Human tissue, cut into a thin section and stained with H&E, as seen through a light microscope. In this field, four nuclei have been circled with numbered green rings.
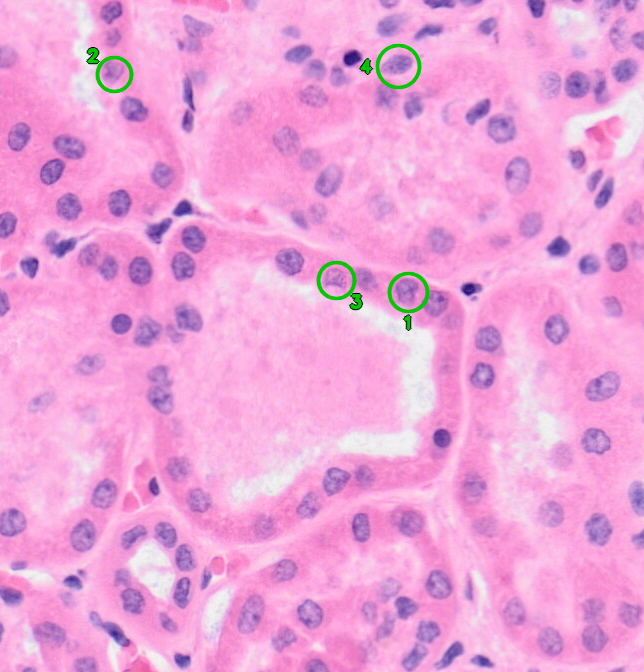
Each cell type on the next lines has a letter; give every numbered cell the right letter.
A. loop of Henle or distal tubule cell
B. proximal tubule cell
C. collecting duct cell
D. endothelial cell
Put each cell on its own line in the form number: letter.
1: B
2: B
3: B
4: D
